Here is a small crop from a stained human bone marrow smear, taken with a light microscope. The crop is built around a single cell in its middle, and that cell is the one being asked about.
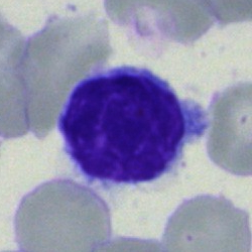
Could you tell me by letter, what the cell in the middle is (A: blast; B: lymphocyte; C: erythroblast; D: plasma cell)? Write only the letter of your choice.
B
